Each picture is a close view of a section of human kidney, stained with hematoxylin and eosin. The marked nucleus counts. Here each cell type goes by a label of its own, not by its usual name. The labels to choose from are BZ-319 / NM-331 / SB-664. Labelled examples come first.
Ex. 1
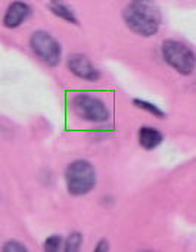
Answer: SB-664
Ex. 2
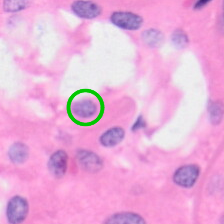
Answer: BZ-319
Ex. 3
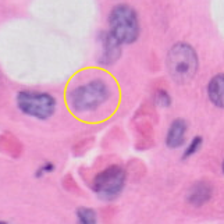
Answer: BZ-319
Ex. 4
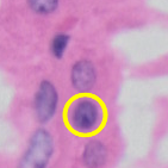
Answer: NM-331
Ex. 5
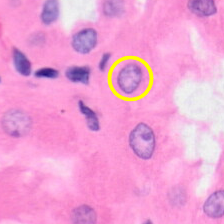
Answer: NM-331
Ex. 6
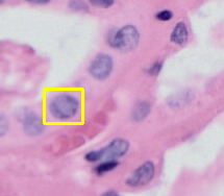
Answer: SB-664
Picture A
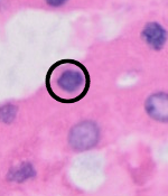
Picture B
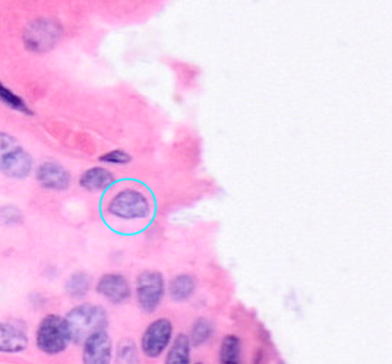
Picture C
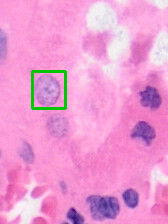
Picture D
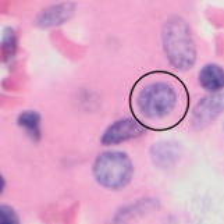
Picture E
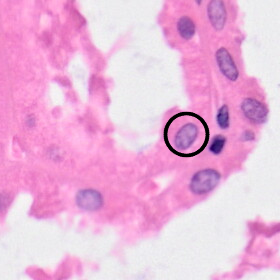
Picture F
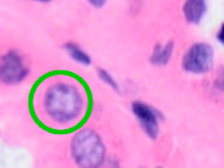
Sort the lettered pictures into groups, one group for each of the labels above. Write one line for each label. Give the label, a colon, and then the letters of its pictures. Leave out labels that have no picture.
BZ-319: A
NM-331: C, E, F
SB-664: B, D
